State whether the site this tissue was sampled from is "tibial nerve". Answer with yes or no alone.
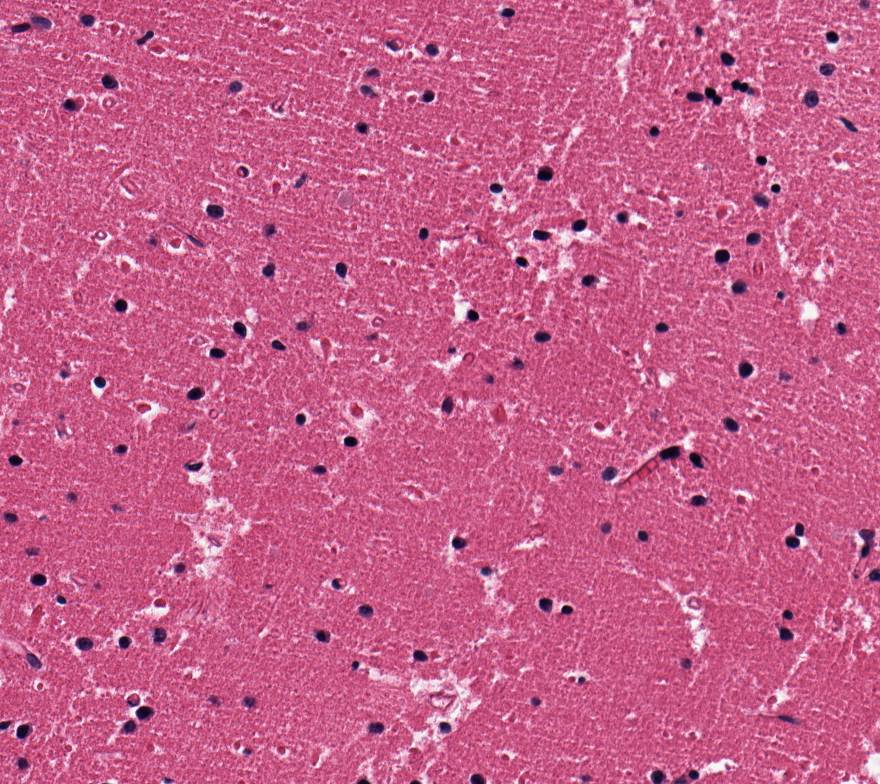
no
